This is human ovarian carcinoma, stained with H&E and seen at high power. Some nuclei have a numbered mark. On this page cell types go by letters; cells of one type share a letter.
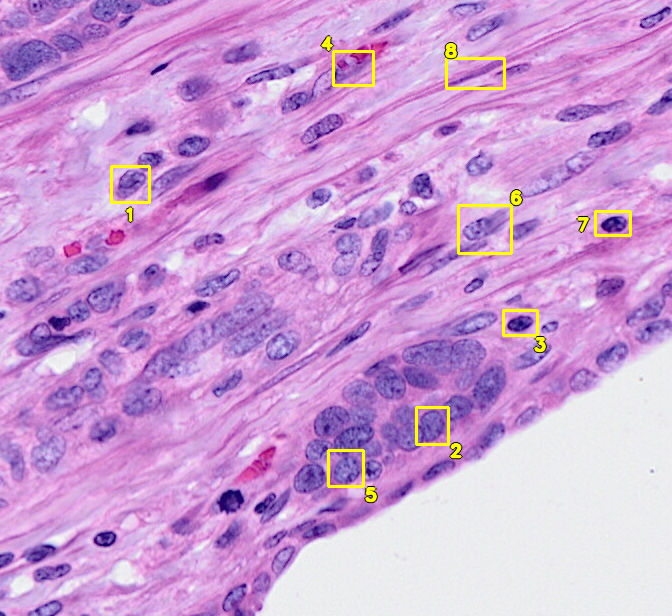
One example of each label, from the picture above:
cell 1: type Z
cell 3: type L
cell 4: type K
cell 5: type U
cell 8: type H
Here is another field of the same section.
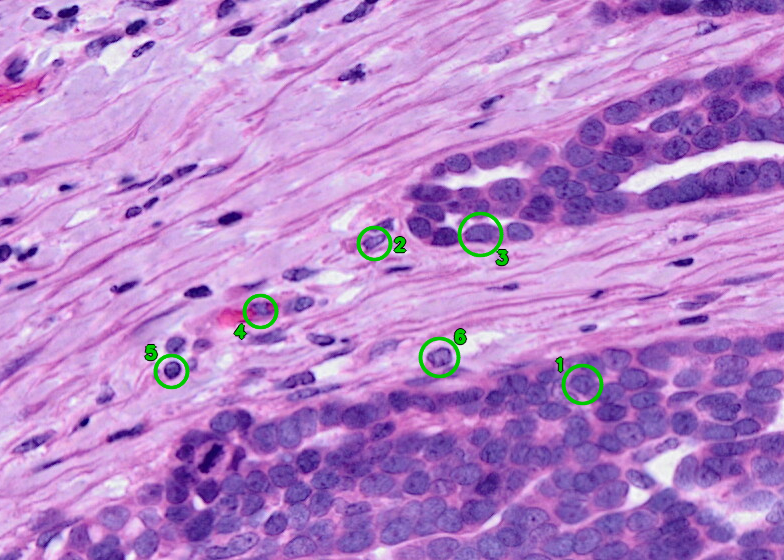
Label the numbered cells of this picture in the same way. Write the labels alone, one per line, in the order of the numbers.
type U
type H
type U
type K
type L
type Z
